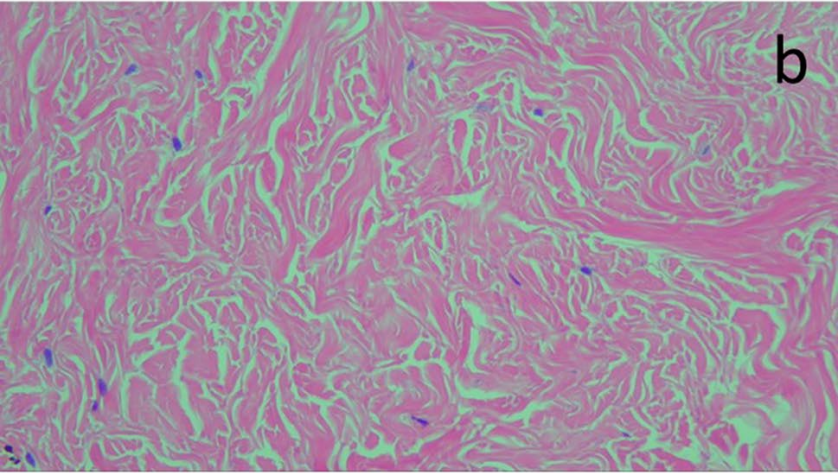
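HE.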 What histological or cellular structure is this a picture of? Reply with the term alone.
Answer: Thick bundles of collagen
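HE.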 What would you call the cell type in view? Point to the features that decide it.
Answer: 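Sparse small, elongated, dark-staining nuclei lie between pink fibre bundles. The nuclei are uniform and not enlarged.
Fibroblasts.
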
